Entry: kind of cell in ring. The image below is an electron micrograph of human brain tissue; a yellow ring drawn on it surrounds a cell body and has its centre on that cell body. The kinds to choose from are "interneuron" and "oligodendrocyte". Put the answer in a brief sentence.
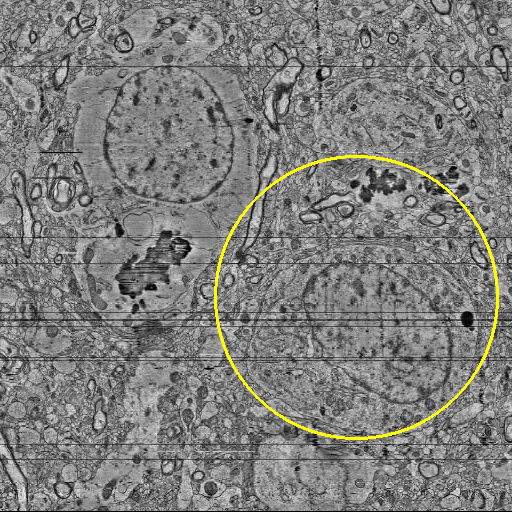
The ring has been drawn around an interneuron.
